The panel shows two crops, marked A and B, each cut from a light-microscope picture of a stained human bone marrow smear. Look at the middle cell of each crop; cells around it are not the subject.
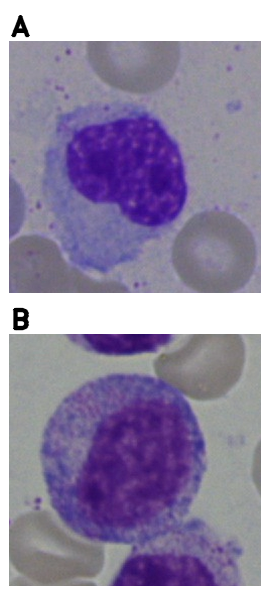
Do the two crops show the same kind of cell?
no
